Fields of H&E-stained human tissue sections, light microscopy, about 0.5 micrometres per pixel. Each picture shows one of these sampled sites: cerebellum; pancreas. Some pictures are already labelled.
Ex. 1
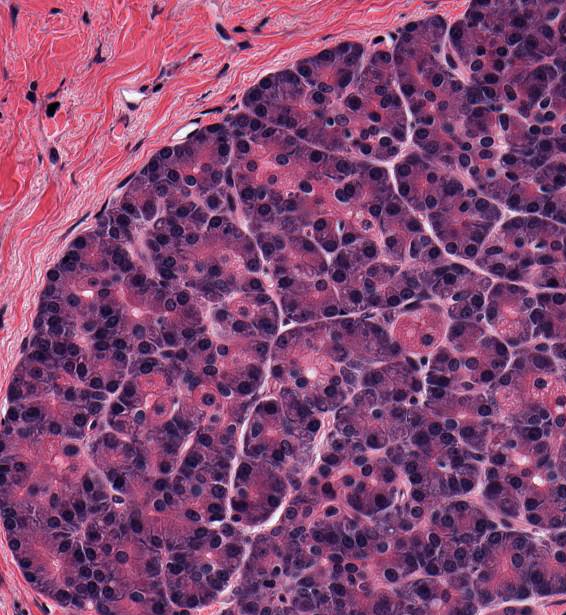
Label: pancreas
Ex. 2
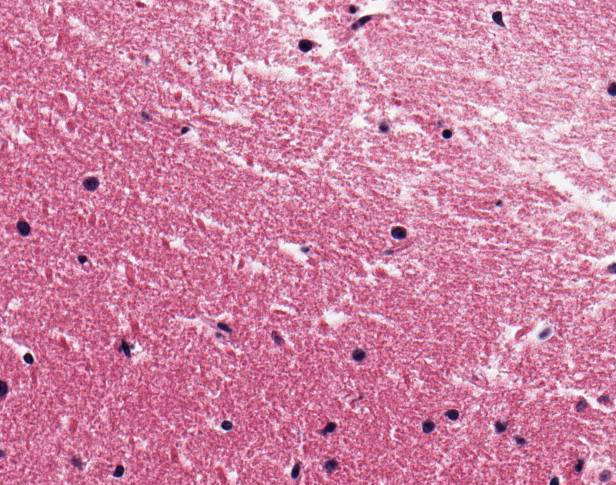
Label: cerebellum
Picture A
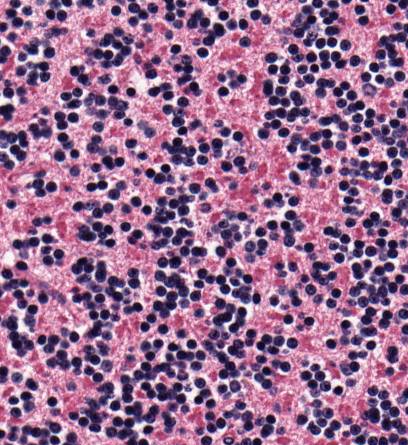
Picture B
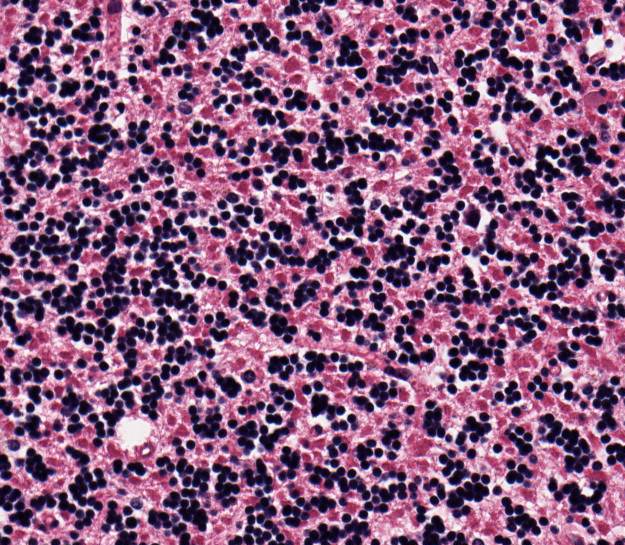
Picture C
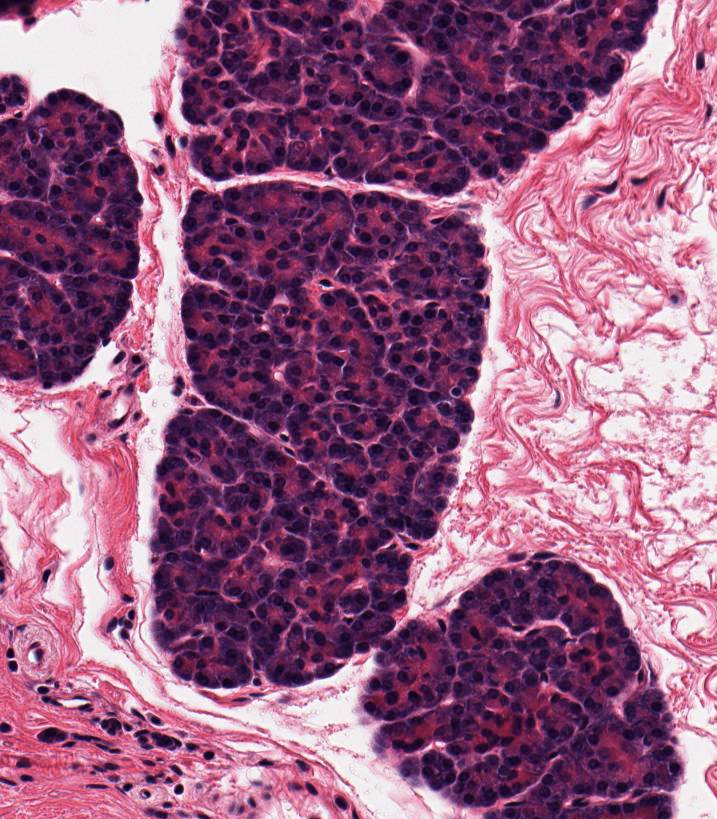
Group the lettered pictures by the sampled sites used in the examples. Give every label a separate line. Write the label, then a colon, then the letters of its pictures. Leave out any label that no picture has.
cerebellum: A, B
pancreas: C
